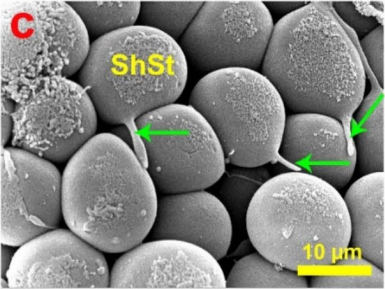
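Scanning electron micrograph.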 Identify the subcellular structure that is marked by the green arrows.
Flagella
